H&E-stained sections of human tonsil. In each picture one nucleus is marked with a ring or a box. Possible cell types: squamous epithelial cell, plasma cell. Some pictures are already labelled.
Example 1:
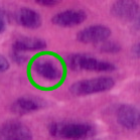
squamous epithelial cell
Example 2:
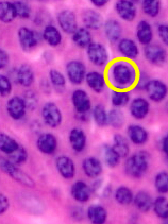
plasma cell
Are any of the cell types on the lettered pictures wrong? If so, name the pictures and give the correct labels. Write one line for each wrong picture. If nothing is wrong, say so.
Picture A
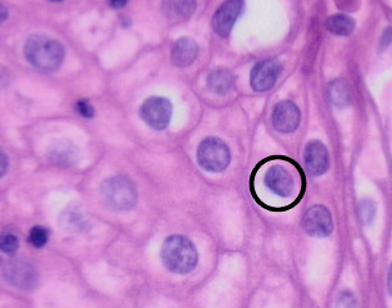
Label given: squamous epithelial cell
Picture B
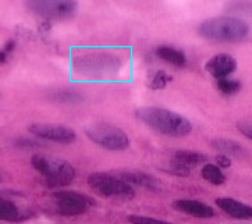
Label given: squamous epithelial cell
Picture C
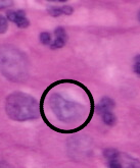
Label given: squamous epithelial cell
None of the labels needs changing.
